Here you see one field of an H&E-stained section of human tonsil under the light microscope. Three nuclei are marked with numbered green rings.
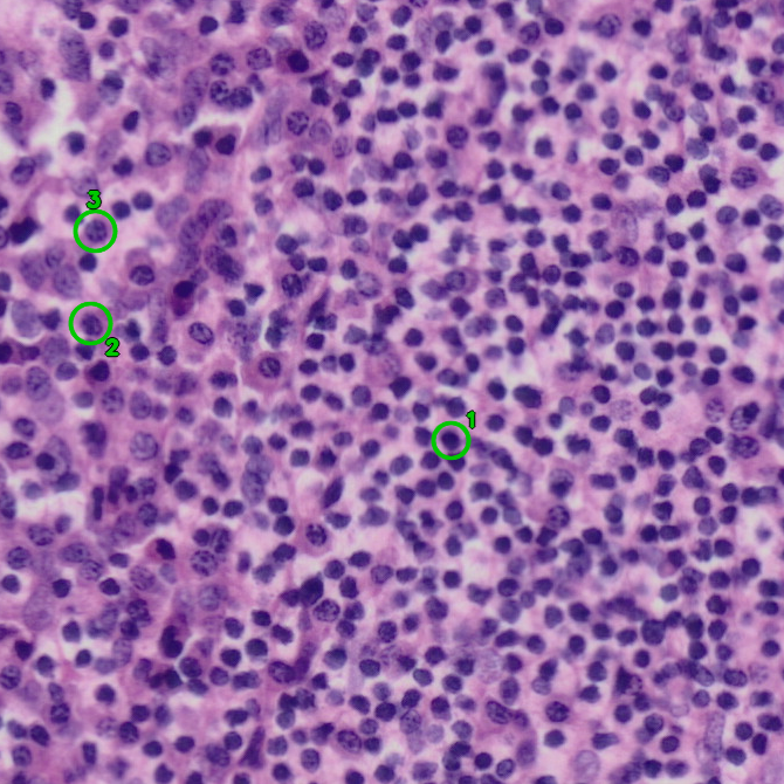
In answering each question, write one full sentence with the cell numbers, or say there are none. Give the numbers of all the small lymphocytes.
Within the set of numbered cells, only number 1 is a small lymphocyte.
